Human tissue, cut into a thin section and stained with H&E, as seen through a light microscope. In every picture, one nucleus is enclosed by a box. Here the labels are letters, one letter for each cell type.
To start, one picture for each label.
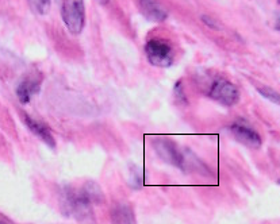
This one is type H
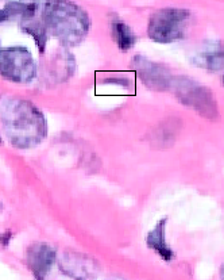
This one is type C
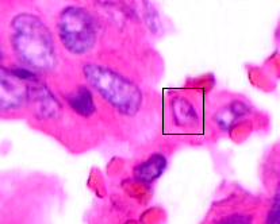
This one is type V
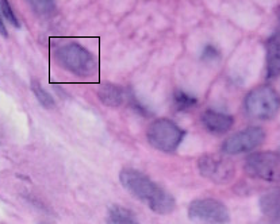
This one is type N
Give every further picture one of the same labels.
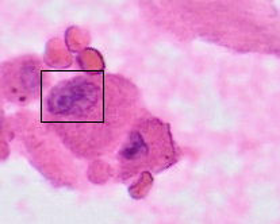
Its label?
type V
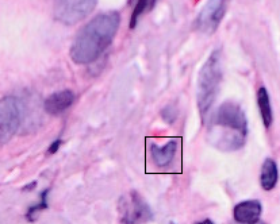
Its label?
type C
